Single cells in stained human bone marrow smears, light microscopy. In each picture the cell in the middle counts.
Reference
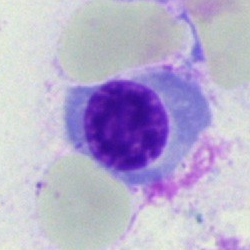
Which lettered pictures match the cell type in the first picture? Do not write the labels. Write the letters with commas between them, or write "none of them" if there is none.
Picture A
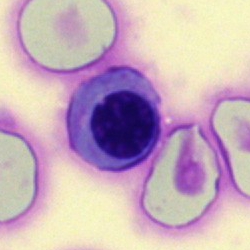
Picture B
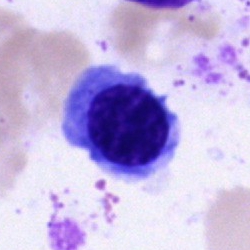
A, B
